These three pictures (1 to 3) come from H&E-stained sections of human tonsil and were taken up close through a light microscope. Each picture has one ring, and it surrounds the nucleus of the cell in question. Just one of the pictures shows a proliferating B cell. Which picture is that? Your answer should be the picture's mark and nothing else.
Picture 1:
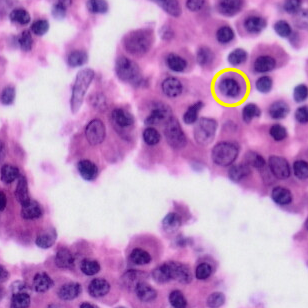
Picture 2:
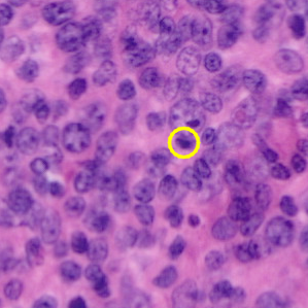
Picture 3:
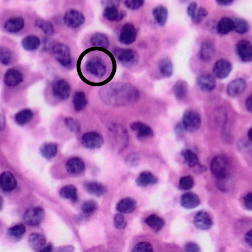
2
